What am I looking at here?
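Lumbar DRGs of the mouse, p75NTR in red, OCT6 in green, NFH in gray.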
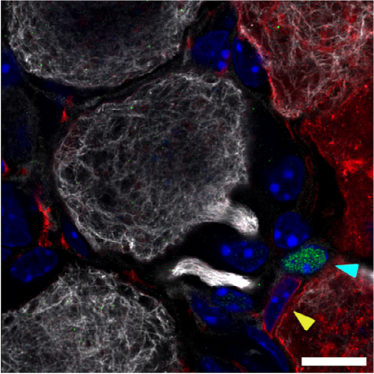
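Large neuron cell bodies of a sensory ganglion are filled with a fine gray filamentous meshwork, and a thick bright gray process curves out from one of them. Small blue nuclei lie crowded in the narrow spaces between the neurons, one of them filled with green, another lying within faint red cytoplasm.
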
